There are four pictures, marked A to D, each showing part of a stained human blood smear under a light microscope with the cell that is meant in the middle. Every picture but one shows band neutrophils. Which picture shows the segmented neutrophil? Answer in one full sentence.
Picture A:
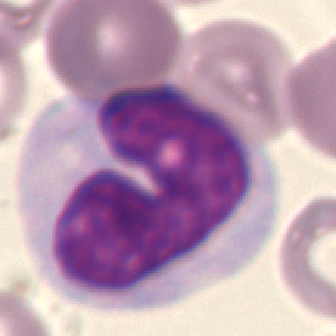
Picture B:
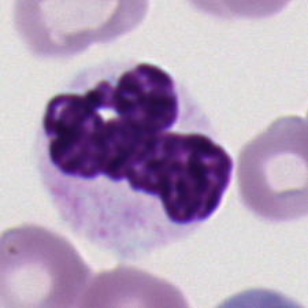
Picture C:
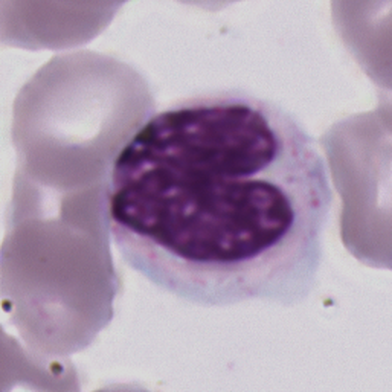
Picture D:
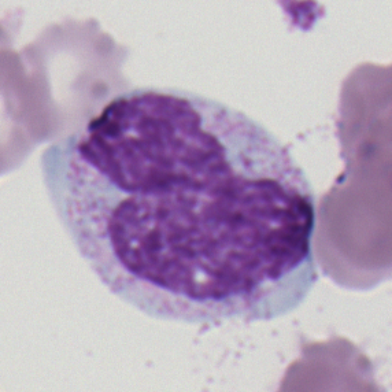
Picture B is the one that shows the segmented neutrophil.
